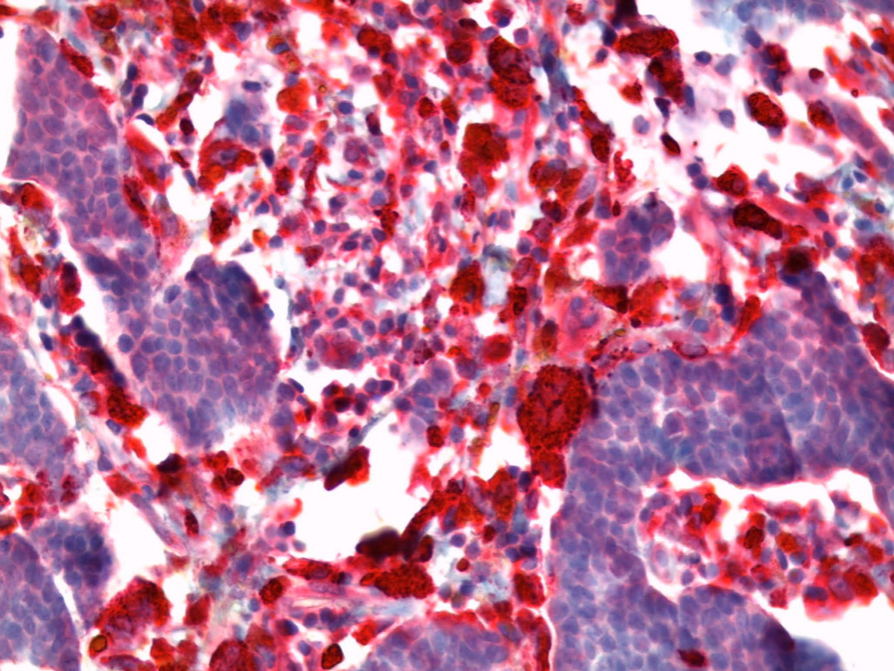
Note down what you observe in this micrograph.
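The section shows scattered giant cells and many smaller cells with red-stained cytoplasm. They lie in loose tissue between solid nests of closely packed cells. The cells in the nests are small, with round to oval blue-purple nuclei and scant cytoplasm, and they are unstained by the red reaction. The giant cells are several times larger than their neighbours and are filled with dense, coarsely granular, dark red material that largely hides their nuclei. The smaller red cells are round to irregular and are spread through the spaces between the nests, often crowding along the nests' edges.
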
